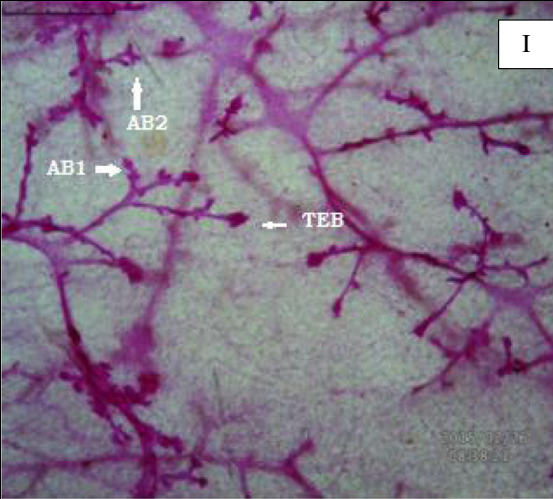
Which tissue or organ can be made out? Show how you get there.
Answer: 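A branching tree of magenta-stained ducts runs across a pale background. The ducts end in small club-shaped buds. The pale background between the ducts is a fine-textured fat pad.
Conclusion: mammary gland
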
